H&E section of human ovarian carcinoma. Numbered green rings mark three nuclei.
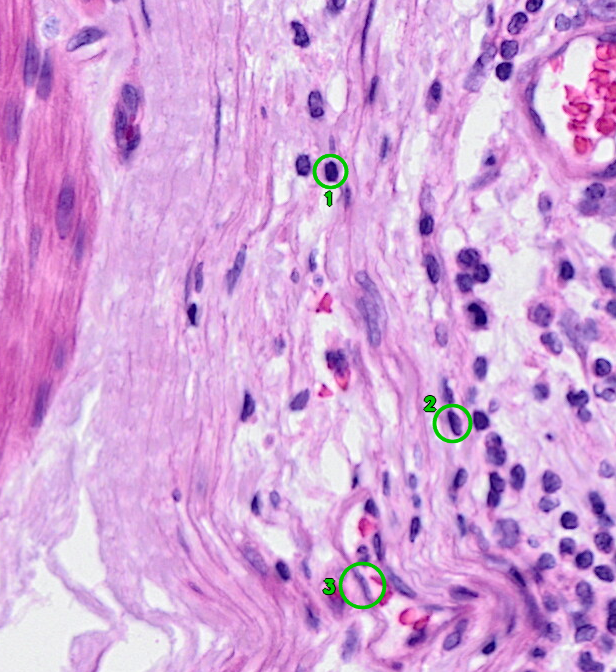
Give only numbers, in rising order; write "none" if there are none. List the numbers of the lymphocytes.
1, 2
